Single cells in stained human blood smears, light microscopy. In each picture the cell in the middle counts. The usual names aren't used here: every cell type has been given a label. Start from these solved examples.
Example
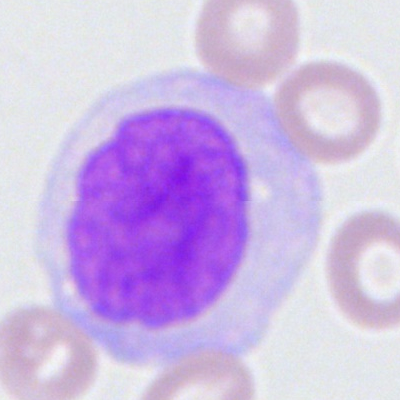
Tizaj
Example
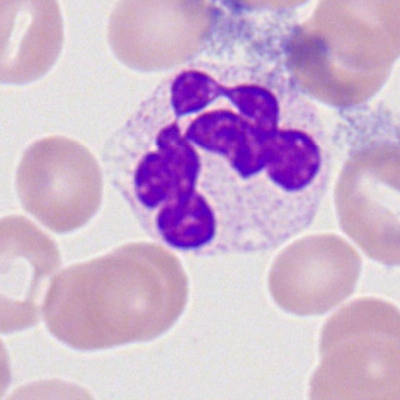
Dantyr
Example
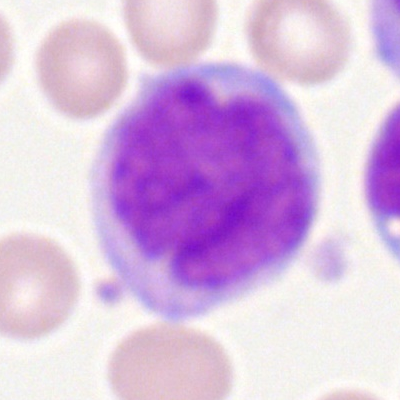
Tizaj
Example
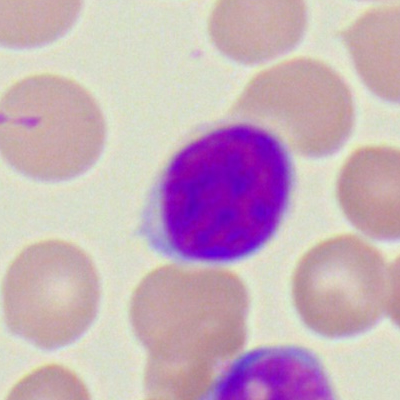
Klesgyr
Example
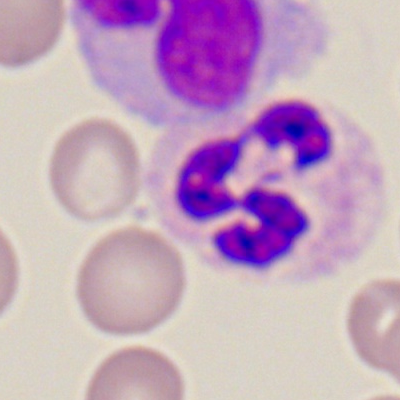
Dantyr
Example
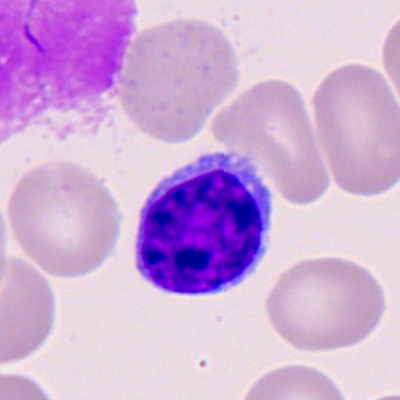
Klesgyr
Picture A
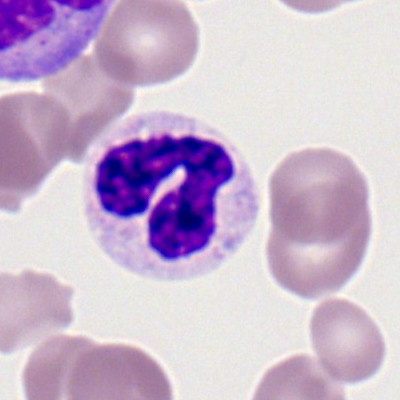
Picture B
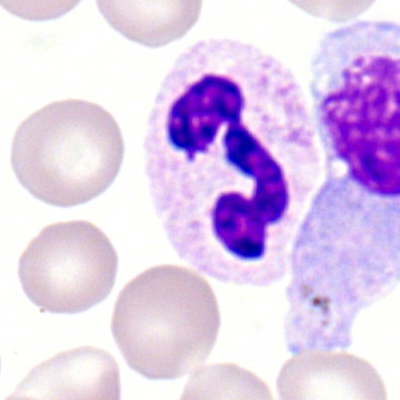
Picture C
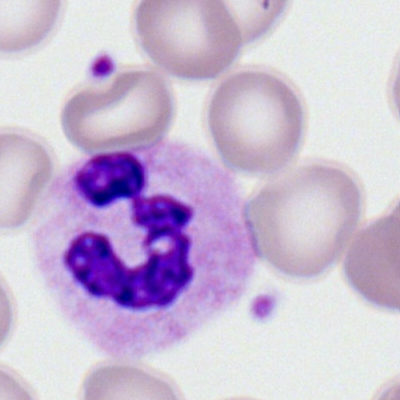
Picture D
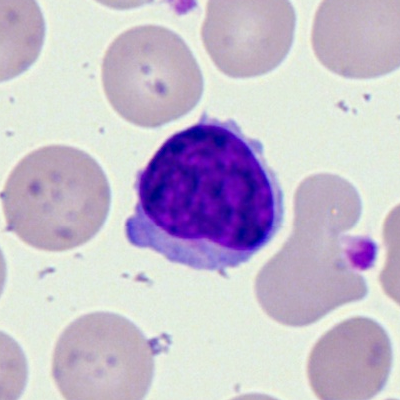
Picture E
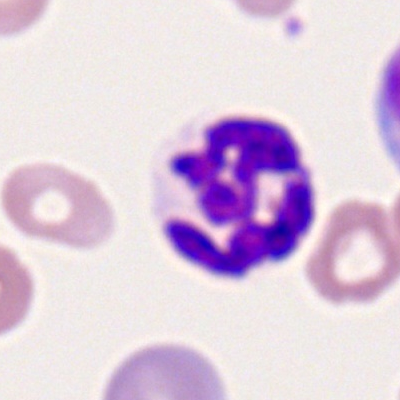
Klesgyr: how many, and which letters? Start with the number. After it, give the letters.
1: D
